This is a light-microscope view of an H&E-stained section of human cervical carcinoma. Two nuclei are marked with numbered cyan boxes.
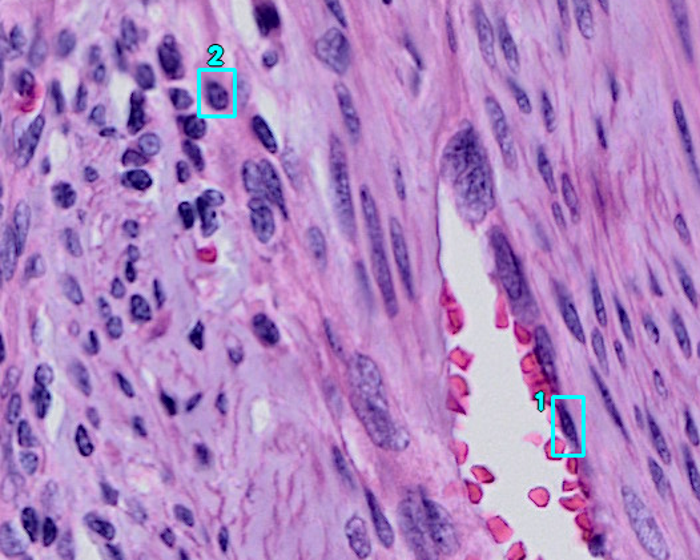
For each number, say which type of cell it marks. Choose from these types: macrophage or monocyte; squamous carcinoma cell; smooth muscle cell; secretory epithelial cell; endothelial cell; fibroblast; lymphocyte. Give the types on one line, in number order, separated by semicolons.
endothelial cell; lymphocyte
